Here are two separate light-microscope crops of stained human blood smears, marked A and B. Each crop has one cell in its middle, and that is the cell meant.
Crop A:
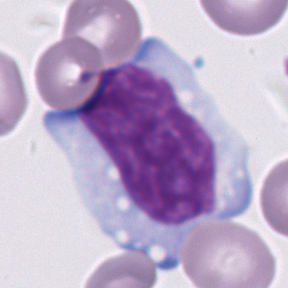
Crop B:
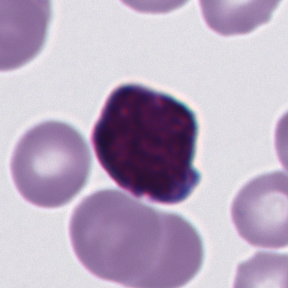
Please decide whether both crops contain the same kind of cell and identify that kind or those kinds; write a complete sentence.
Yes, blasts lie at the centre of both crops.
